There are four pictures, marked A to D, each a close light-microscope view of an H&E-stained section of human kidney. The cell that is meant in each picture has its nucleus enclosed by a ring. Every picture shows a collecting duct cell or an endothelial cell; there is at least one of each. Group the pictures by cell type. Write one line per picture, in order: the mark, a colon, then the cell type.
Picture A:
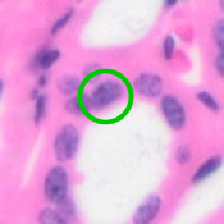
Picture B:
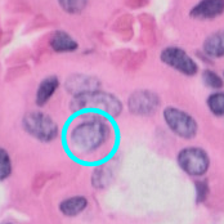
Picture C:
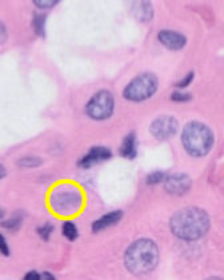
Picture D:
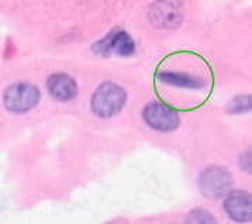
A: collecting duct cell
B: collecting duct cell
C: collecting duct cell
D: endothelial cell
